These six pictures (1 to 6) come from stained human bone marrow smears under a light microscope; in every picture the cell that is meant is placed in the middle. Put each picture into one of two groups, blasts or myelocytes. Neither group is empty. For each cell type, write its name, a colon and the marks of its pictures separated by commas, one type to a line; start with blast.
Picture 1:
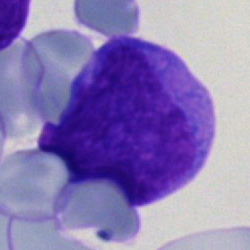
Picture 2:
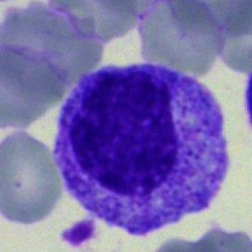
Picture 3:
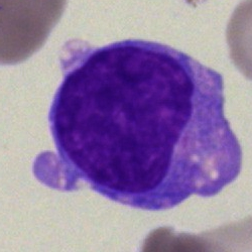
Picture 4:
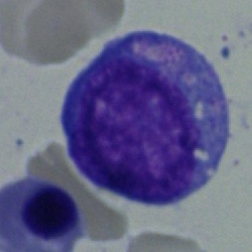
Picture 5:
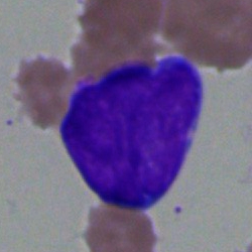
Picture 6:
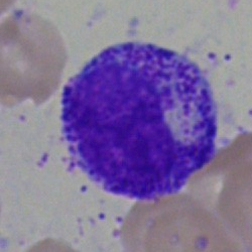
blast: 1, 3, 4, 5
myelocyte: 2, 6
